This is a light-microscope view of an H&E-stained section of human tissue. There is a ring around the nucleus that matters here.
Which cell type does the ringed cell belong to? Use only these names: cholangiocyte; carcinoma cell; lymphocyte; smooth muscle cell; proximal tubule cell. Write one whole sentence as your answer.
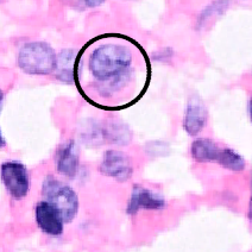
The ringed cell is a carcinoma cell.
